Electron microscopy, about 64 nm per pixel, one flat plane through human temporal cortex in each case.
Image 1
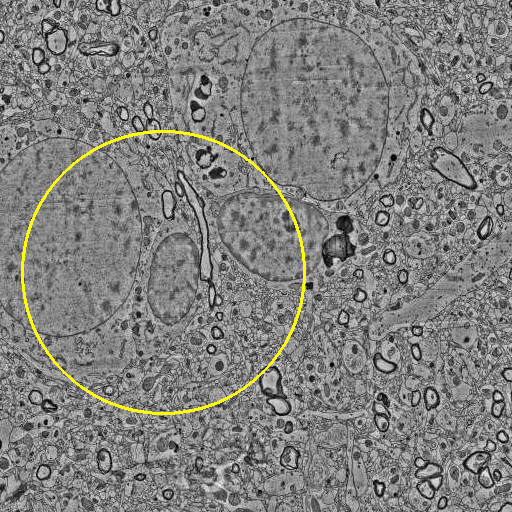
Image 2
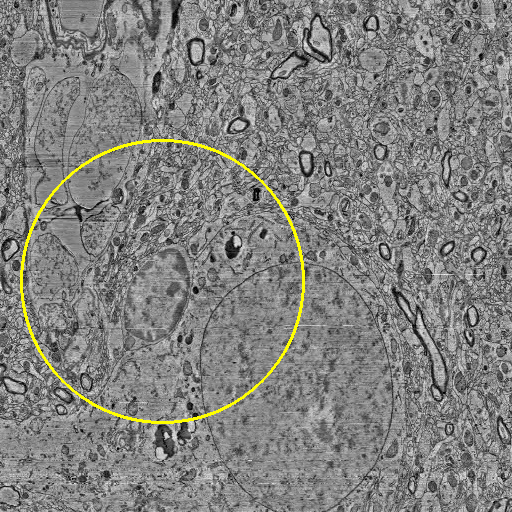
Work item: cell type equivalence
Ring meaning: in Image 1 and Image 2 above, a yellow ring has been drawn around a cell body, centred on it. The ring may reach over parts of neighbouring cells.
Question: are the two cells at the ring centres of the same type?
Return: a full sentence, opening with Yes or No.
Yes, the two centred cells are of the same type.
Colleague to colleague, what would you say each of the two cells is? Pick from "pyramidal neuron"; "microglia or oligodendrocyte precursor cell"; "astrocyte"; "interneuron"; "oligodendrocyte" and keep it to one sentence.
Each of the two rings is centred on an oligodendrocyte.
